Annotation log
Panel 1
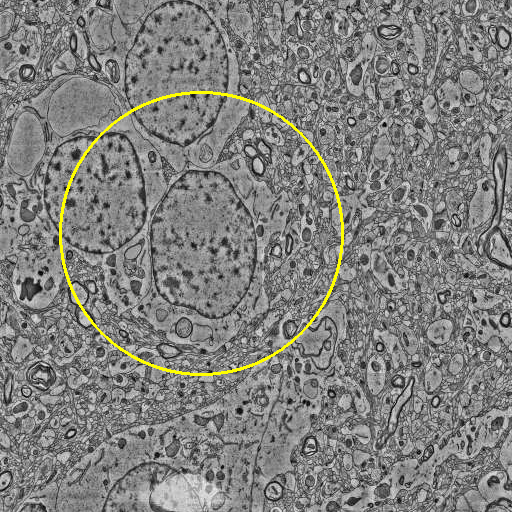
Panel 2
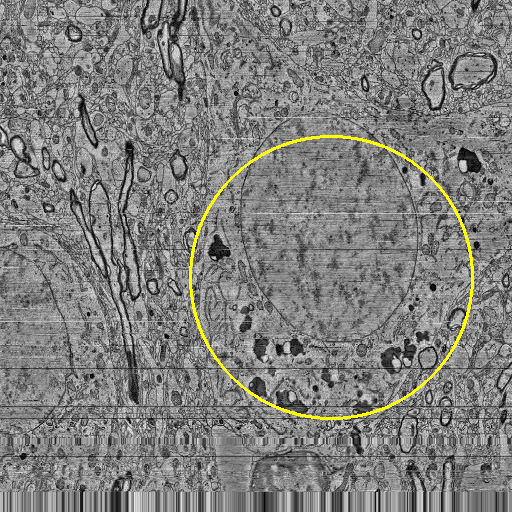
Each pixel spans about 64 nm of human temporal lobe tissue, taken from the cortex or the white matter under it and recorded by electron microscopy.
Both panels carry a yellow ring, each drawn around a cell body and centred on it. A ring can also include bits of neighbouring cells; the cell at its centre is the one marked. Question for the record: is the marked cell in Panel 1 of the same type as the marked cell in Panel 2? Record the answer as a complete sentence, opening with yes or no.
No, the marked cells in Panel 1 and Panel 2 are of two types.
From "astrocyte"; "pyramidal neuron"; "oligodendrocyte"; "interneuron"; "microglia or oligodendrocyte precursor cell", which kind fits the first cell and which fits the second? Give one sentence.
The cell marked in the first picture is an astrocyte, and the one marked in the second is a pyramidal neuron.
